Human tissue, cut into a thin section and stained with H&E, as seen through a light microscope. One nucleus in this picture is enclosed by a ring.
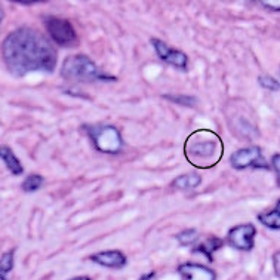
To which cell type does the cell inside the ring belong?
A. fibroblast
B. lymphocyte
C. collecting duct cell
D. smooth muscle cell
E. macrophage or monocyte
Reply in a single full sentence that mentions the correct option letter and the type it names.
Since the cell inside the ring is a fibroblast, option A is correct.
